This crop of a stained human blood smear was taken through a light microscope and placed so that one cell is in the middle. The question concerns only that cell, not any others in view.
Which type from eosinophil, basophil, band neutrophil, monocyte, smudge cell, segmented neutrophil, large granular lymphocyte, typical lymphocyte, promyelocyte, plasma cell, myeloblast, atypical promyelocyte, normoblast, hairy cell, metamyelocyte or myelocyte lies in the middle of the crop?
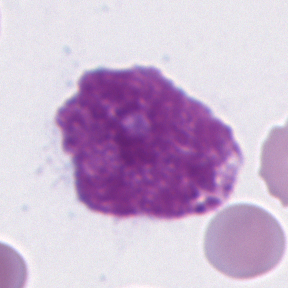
smudge cell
